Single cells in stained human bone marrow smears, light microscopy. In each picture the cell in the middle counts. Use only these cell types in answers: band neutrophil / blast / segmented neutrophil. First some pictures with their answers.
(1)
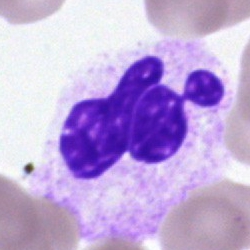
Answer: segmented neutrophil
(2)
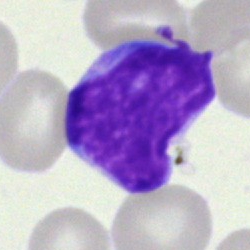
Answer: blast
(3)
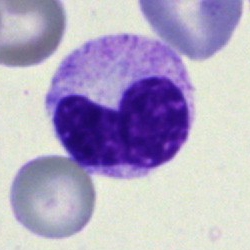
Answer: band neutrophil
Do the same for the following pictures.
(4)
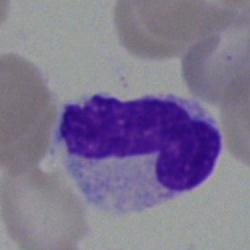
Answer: band neutrophil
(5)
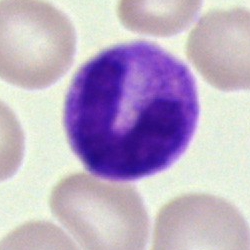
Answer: band neutrophil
